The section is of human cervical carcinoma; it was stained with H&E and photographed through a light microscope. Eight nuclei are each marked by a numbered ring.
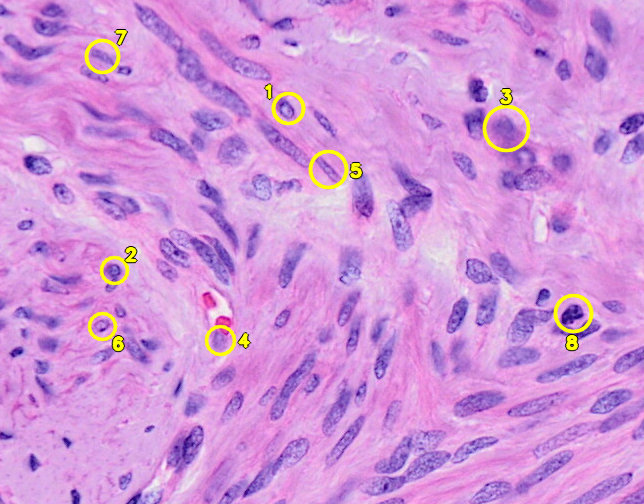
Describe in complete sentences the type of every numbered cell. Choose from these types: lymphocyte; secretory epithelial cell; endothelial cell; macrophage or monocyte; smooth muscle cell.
Cell 1 is a smooth muscle cell, cell 2 is a smooth muscle cell, cell 3 is an endothelial cell, cell 4 is an endothelial cell, cell 5 is a smooth muscle cell, cell 6 is a smooth muscle cell, cell 7 is a smooth muscle cell and cell 8 is a lymphocyte.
